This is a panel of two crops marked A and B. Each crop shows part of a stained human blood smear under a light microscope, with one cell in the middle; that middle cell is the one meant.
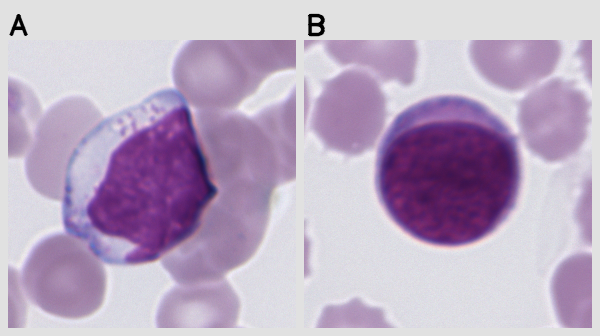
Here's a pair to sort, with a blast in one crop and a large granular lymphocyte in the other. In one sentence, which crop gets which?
Whereas crop A contains a large granular lymphocyte, crop B contains a blast.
